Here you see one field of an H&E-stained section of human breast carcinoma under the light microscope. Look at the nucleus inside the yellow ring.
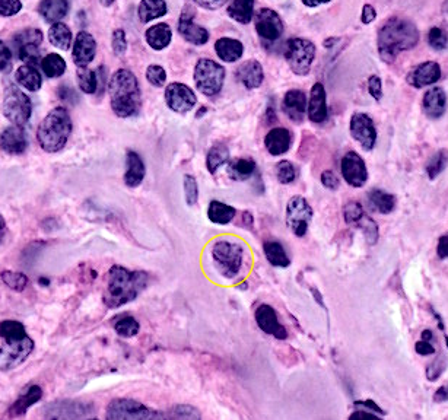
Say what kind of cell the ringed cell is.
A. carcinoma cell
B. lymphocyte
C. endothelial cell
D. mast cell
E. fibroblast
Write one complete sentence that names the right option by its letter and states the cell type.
It is correct to say that the ringed cell is a lymphocyte, as option B does.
